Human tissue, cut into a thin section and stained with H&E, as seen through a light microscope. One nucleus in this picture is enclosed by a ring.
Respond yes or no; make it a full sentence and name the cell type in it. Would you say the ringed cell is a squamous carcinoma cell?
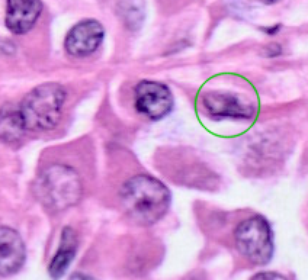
No, the ringed cell is classed as a melanoma cell, not a squamous carcinoma cell.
